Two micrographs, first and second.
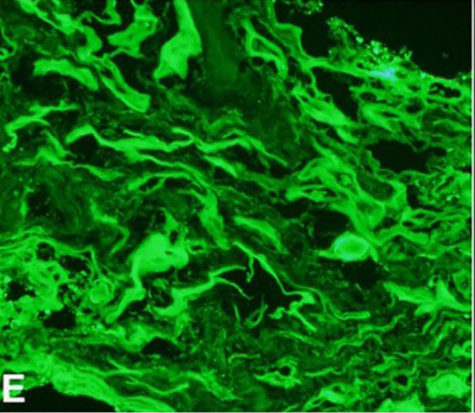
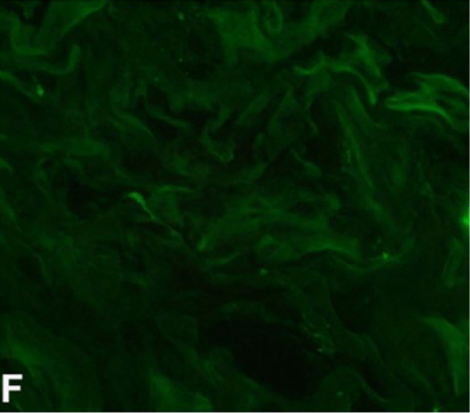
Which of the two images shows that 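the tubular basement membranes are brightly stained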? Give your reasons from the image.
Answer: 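First image: intense bright green linear bands outline tubules. So: the first image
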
